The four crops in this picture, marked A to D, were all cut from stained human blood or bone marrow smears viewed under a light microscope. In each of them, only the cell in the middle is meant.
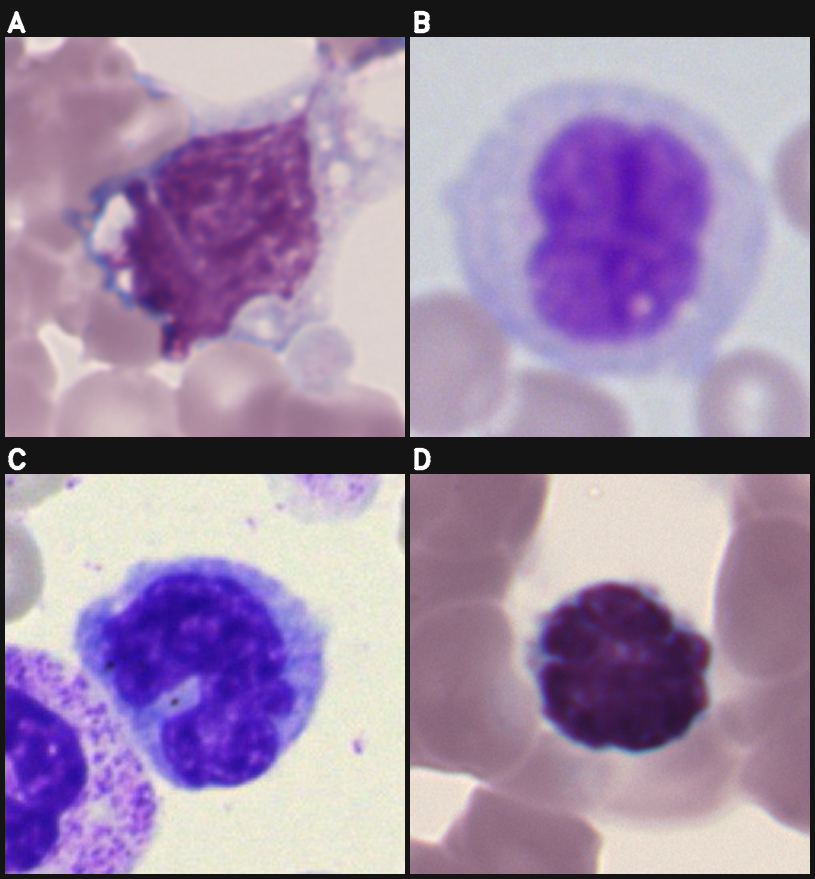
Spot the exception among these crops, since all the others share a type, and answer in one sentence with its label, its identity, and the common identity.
The crop that differs is crop D, showing a lymphocyte; the others show monocytes.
